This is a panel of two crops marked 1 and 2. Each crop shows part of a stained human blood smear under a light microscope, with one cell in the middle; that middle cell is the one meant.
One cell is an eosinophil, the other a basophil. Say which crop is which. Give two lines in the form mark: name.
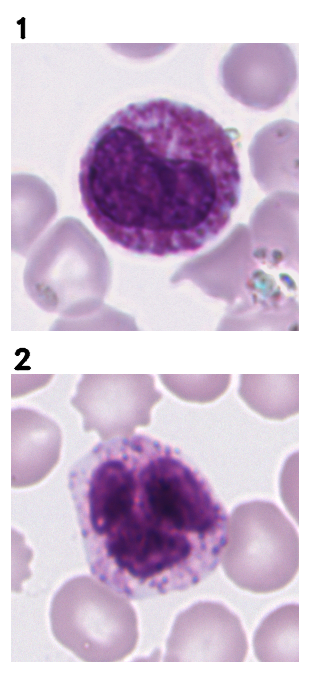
1: eosinophil
2: basophil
